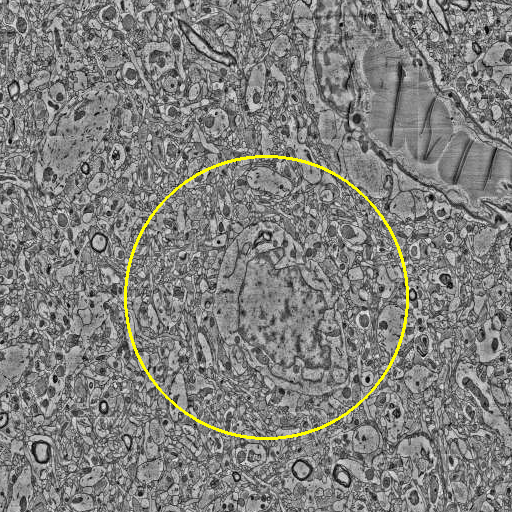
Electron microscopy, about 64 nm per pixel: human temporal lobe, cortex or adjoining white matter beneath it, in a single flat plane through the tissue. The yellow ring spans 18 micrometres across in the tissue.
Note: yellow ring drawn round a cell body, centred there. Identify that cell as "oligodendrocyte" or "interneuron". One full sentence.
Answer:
The cell in the middle of the ring is an interneuron.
